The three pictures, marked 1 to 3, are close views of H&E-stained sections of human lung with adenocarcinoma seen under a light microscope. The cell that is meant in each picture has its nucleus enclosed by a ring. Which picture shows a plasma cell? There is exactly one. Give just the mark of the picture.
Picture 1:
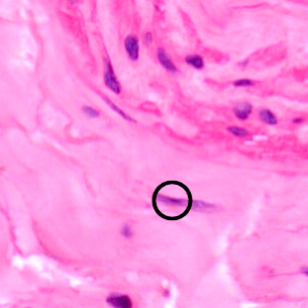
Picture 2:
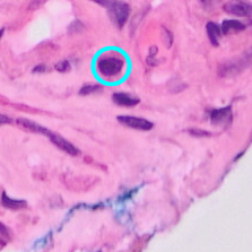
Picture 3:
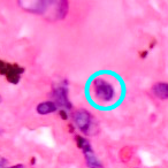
2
